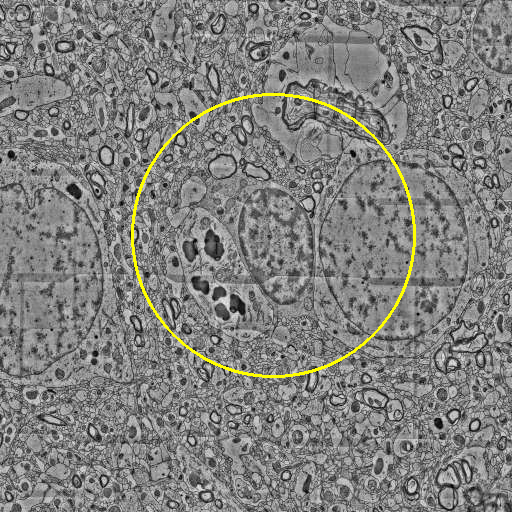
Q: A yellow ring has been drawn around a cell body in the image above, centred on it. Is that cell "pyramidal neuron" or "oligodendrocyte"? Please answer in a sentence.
The ring surrounds the cell body of an oligodendrocyte.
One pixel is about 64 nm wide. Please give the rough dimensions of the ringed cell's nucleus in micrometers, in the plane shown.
Approximately 7 by 5 micrometers in this plane.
